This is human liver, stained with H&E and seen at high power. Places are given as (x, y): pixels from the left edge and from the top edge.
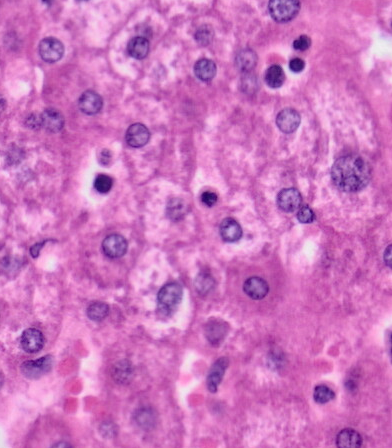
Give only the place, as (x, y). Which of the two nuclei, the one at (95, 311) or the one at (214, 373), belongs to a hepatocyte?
(95, 311)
